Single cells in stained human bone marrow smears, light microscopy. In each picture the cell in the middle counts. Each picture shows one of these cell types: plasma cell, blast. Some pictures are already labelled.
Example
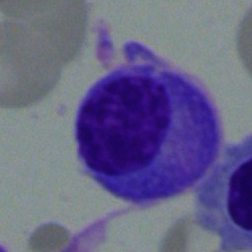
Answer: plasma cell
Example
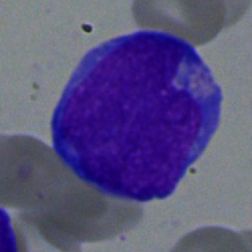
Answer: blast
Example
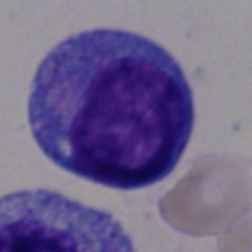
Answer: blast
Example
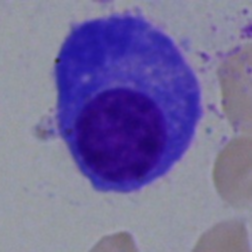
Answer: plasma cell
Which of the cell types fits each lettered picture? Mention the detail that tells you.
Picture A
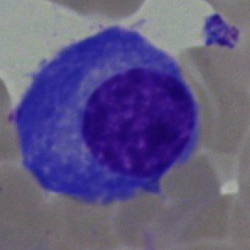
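Label: plasma cell. The cytoplasm is abundant and takes up more of the cell than the nucleus does.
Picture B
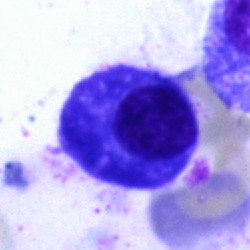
Label: plasma cell. The cytoplasm is abundant and forms a wide band on the left of the nucleus.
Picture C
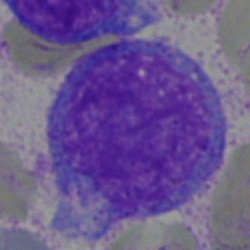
Label: blast. The cytoplasm forms a narrow blue rim around the nucleus.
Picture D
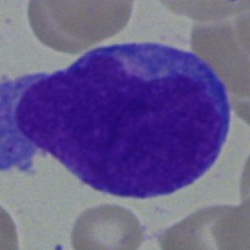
Label: blast. The nucleus fills almost the whole cell, leaving very little cytoplasm.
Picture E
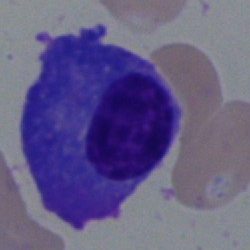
Label: plasma cell. The cytoplasm is abundant, taking up more of the cell than the nucleus does.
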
